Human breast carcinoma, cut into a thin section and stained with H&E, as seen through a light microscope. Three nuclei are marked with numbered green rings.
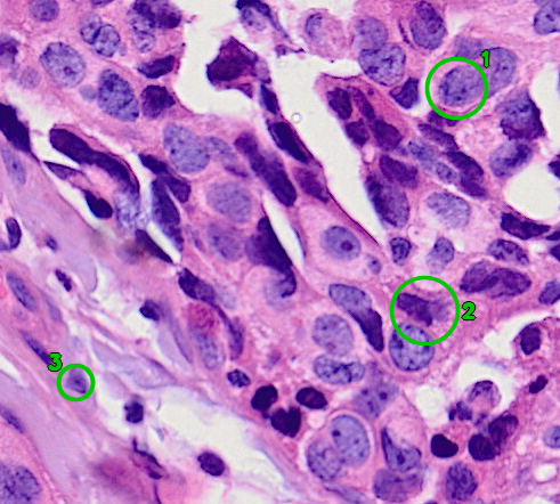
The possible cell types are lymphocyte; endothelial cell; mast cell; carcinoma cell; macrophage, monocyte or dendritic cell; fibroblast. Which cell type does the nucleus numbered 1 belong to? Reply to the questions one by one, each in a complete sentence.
The mark numbered 1 indicates the nucleus of a carcinoma cell.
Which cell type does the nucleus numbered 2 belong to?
The correct answer for cell 2 is a carcinoma cell.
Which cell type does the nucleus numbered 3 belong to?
The cell assigned the number 3 is a fibroblast.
